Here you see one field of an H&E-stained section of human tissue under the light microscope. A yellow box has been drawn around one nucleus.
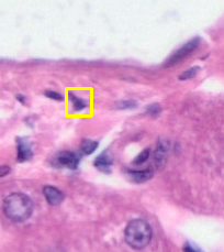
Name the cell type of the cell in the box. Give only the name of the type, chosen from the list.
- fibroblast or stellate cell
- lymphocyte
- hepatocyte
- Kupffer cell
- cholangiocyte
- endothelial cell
fibroblast or stellate cell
